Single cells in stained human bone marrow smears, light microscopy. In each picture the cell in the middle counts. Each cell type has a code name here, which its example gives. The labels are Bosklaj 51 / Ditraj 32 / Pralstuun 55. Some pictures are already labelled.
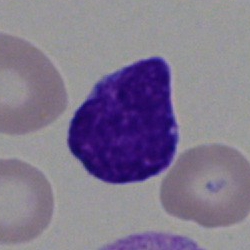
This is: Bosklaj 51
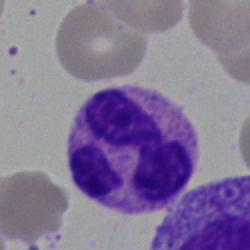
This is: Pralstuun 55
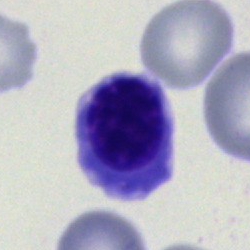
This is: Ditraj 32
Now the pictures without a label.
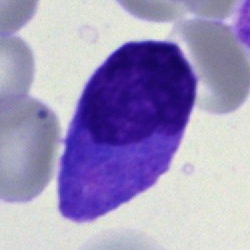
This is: Bosklaj 51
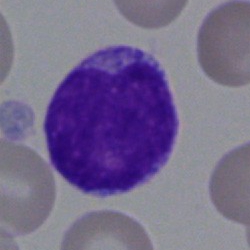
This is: Bosklaj 51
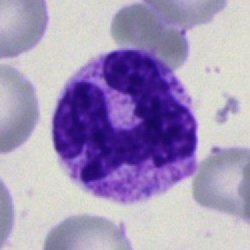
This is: Pralstuun 55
